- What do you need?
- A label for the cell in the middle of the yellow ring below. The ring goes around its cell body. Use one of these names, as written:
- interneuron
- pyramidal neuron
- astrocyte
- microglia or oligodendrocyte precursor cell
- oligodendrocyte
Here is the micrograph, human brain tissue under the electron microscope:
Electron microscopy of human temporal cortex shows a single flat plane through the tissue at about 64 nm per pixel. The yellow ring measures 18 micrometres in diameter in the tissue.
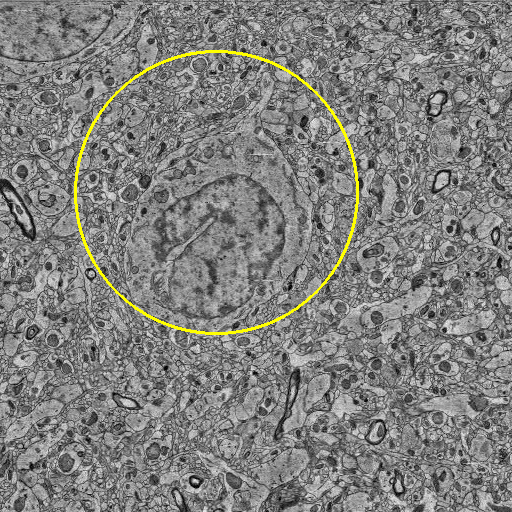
interneuron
